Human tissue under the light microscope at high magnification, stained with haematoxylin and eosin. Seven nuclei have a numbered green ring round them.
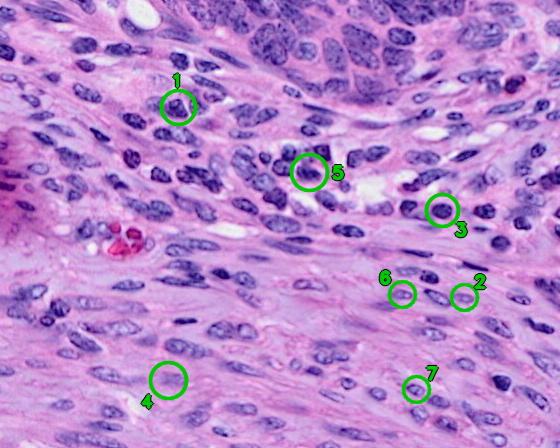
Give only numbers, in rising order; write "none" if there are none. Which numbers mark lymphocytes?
1, 3, 5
